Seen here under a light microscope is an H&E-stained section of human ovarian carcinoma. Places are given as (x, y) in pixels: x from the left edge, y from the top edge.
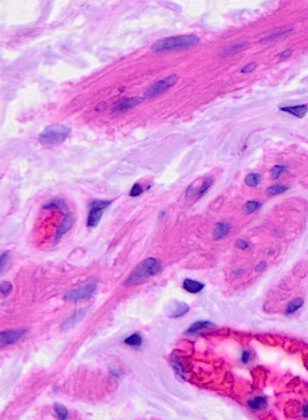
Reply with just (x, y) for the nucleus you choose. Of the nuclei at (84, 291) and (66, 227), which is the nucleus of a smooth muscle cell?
(84, 291)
